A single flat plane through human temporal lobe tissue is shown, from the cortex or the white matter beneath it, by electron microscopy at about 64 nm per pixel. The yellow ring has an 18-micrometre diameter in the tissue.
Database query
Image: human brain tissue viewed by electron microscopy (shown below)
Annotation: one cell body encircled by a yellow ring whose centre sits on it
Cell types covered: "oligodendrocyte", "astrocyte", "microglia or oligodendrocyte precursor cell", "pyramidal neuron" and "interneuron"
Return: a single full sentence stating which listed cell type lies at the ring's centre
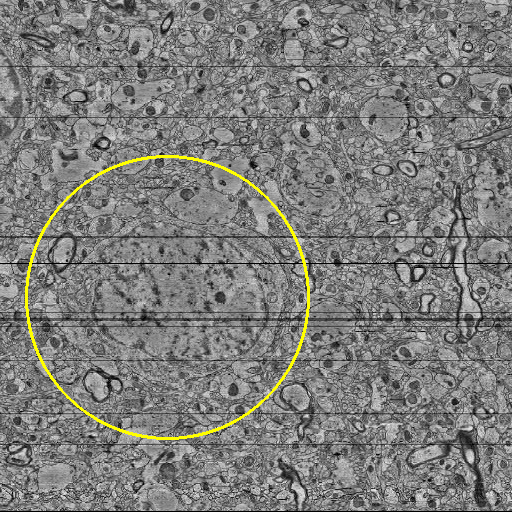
In the image, the cell lying at the ring's centre is an interneuron.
